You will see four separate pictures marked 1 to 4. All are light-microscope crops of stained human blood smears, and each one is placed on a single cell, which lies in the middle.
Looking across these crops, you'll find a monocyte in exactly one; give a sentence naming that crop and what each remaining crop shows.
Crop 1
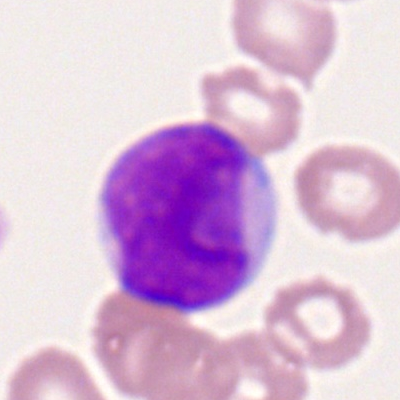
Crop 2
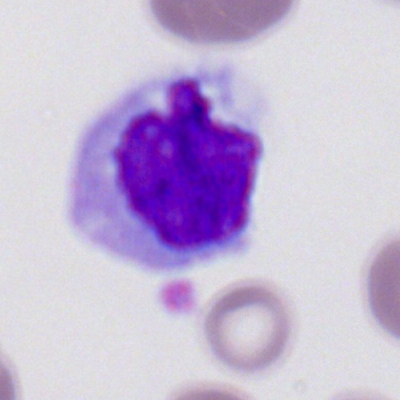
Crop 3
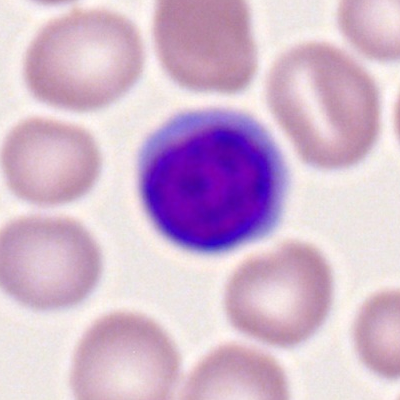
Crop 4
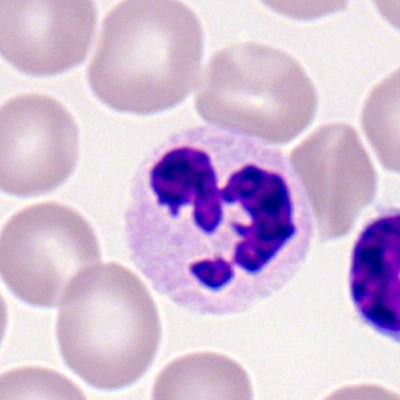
Crop 2 is recognised as a monocyte, whereas crop 1 is a myeloblast, crop 3 is a lymphocyte and crop 4 is a segmented neutrophil.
